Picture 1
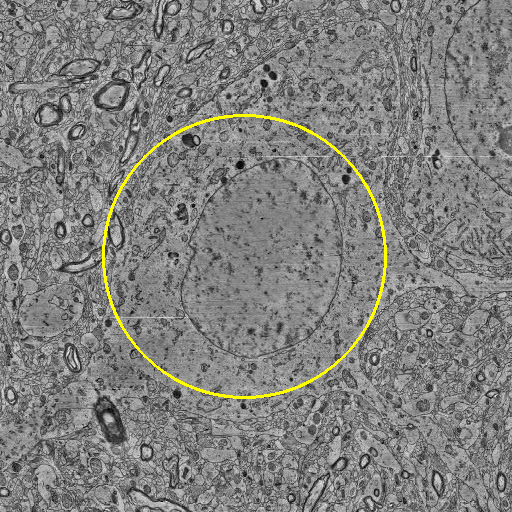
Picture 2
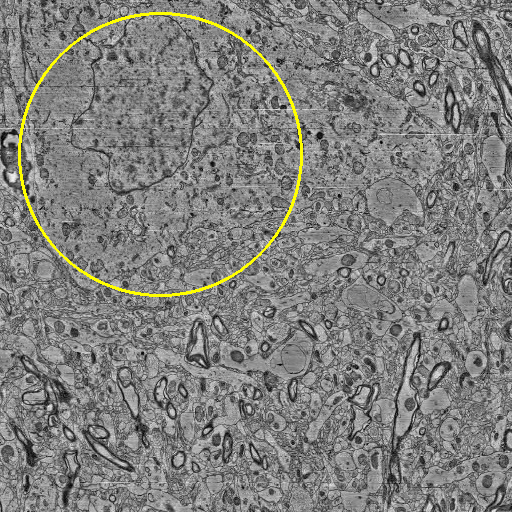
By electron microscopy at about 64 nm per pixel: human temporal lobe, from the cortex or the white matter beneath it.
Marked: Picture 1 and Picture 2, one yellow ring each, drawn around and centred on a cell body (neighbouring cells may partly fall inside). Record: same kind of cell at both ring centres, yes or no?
yes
